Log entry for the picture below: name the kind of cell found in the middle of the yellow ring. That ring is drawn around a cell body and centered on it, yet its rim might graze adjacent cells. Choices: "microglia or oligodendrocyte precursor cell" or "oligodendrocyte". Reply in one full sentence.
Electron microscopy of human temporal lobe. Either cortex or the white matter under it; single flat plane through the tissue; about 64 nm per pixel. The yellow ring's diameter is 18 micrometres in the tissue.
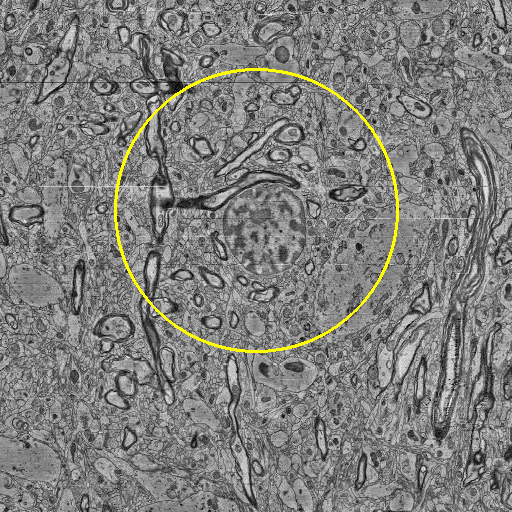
The cell in the middle of the yellow ring in this picture is an oligodendrocyte.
